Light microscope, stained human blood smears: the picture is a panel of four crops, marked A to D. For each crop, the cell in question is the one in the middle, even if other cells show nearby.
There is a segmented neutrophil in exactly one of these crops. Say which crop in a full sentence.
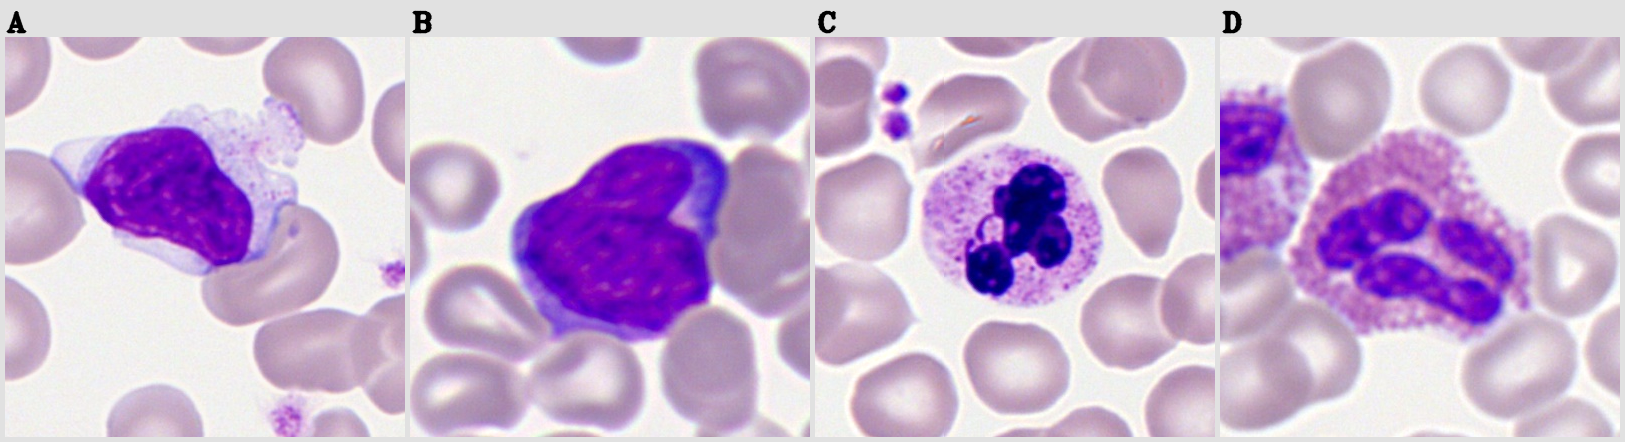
The one showing a segmented neutrophil is the crop labelled C.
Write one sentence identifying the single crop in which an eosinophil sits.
The one crop in the set with an eosinophil is crop D.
